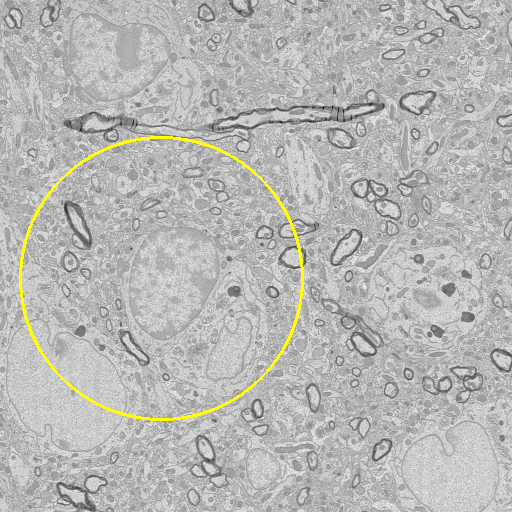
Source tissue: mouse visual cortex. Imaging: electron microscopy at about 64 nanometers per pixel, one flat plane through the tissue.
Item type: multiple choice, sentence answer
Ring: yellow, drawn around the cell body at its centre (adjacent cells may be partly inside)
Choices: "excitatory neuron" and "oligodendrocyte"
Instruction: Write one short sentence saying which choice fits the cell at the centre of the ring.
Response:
This ring is drawn around an oligodendrocyte.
